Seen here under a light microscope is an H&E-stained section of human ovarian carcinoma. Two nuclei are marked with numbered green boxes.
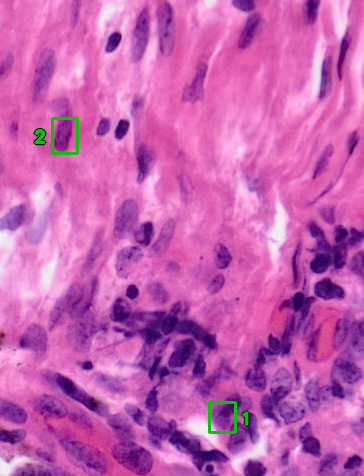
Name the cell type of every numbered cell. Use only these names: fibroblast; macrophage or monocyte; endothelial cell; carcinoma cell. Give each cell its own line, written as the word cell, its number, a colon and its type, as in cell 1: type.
cell 1: carcinoma cell
cell 2: fibroblast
